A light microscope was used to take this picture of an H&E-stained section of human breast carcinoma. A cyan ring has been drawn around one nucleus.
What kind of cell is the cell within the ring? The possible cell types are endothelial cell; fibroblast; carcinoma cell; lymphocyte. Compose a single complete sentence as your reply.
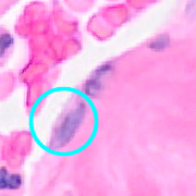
As a matter of cell type, the cell within the ring is an endothelial cell.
